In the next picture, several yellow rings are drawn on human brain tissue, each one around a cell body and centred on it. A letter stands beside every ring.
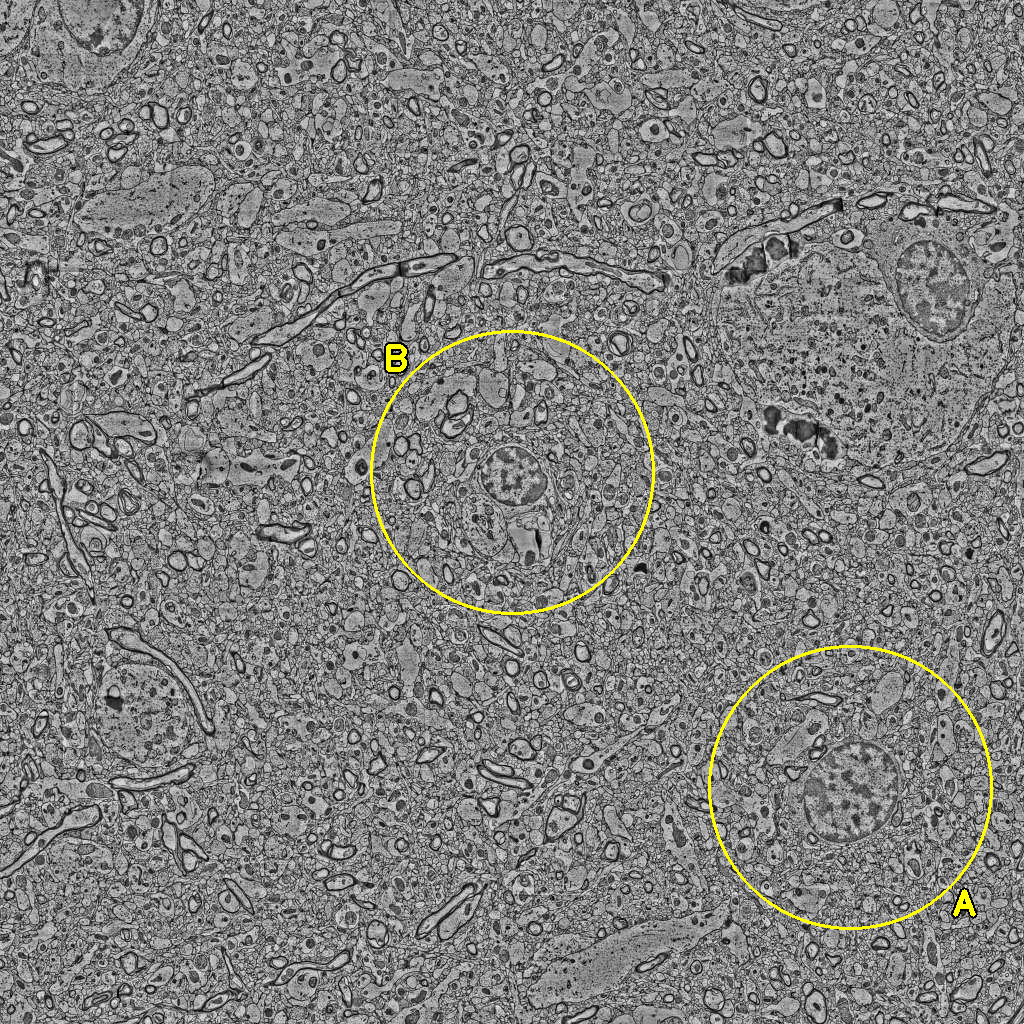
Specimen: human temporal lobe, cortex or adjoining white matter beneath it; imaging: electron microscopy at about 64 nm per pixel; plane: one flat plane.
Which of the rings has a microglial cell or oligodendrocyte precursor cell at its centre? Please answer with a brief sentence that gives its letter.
Ring B has it at its centre.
